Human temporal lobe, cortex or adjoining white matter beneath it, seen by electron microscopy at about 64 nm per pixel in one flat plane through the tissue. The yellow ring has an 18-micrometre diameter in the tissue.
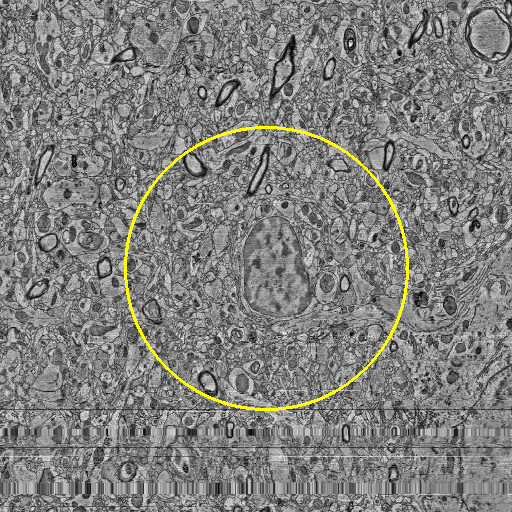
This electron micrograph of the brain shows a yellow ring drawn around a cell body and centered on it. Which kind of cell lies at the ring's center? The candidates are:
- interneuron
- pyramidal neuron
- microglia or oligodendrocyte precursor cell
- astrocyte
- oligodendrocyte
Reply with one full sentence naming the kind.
The cell lying at the ring's center in this micrograph is a microglial cell or oligodendrocyte precursor cell.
